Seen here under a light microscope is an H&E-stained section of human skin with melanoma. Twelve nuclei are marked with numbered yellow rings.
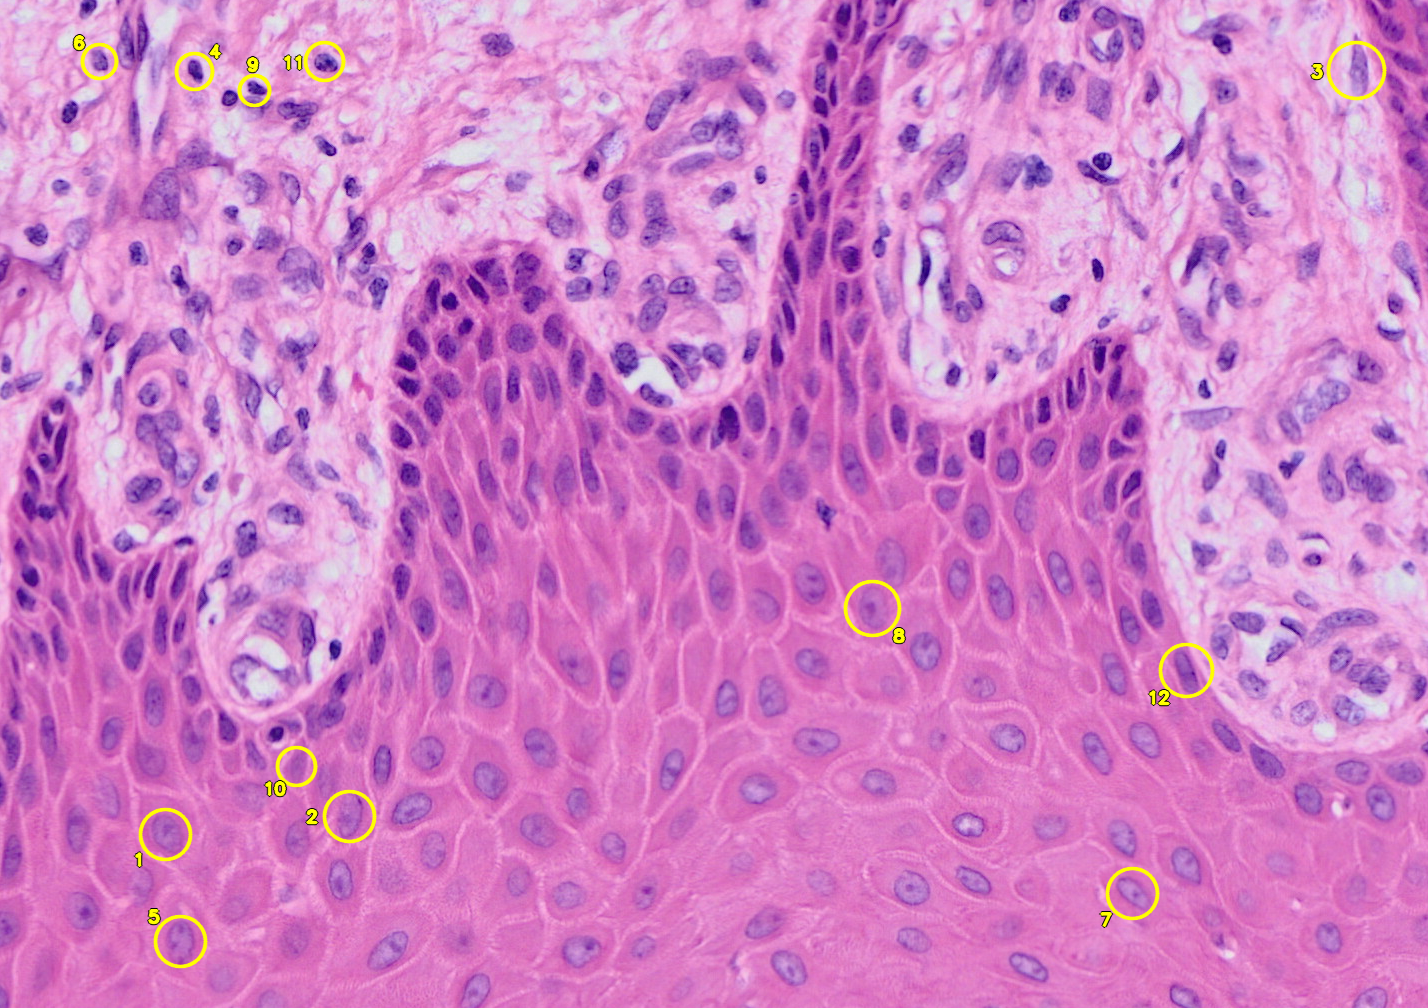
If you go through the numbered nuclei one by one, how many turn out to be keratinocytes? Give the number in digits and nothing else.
7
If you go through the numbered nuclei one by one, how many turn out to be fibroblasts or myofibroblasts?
1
